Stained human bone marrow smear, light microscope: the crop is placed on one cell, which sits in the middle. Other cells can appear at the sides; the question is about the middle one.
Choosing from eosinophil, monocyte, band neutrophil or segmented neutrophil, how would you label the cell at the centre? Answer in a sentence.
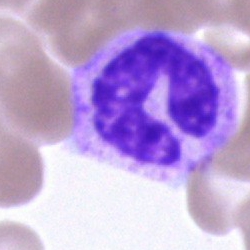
What the crop centres on is a band neutrophil.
